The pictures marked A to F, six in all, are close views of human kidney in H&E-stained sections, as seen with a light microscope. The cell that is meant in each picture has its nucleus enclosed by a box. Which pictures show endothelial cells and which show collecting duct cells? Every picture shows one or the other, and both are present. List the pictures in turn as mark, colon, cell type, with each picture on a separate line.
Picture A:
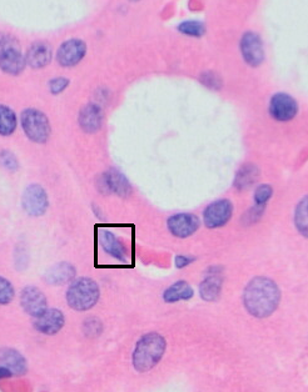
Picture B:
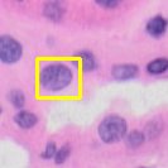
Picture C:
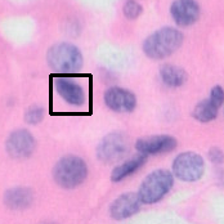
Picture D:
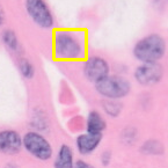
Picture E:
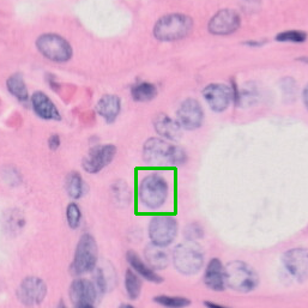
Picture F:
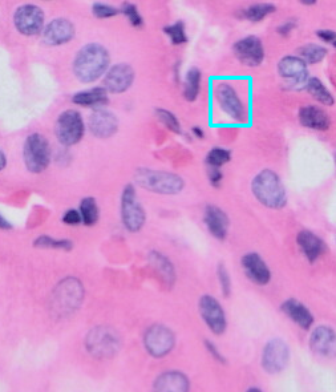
A: endothelial cell
B: collecting duct cell
C: collecting duct cell
D: collecting duct cell
E: collecting duct cell
F: endothelial cell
